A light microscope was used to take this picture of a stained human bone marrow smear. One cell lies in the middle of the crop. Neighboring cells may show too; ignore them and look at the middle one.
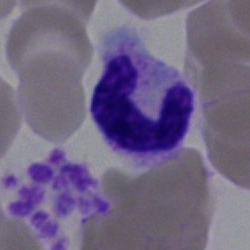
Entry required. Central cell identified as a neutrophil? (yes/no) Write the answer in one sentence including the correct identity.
Yes, the cell in the middle has the identity of a neutrophil.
